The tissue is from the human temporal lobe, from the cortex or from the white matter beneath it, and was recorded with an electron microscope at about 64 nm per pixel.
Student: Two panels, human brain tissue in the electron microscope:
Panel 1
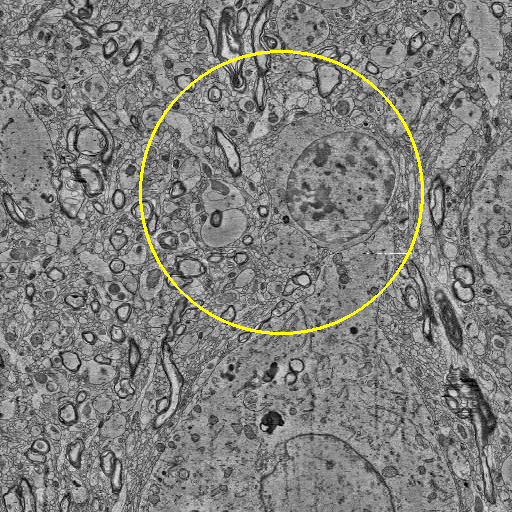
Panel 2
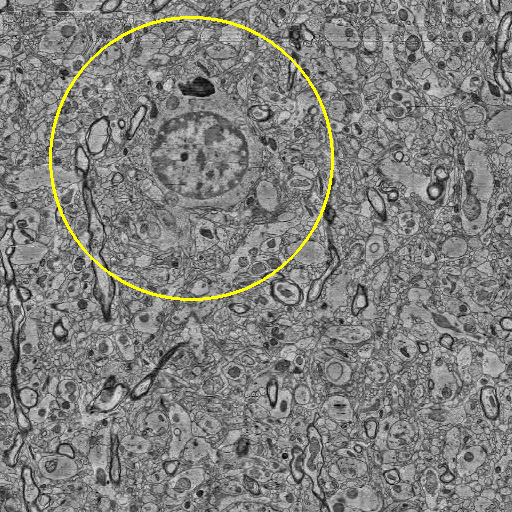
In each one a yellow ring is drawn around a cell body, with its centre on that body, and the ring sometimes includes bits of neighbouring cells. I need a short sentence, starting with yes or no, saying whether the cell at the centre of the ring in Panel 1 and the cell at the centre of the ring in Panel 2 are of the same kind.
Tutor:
Yes, they are the same kind of cell.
